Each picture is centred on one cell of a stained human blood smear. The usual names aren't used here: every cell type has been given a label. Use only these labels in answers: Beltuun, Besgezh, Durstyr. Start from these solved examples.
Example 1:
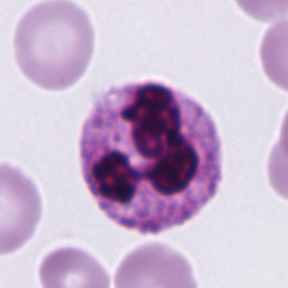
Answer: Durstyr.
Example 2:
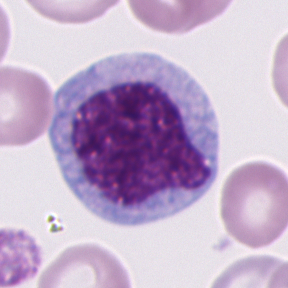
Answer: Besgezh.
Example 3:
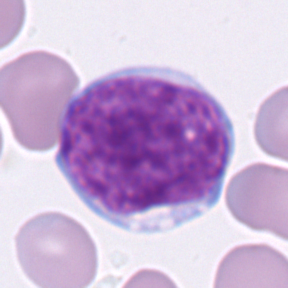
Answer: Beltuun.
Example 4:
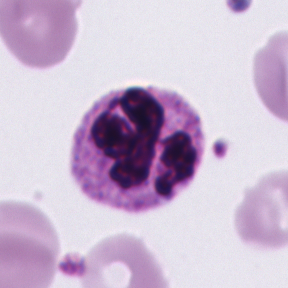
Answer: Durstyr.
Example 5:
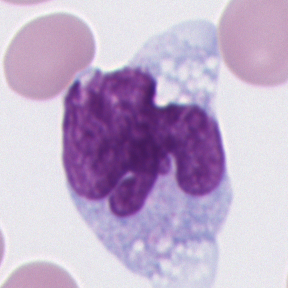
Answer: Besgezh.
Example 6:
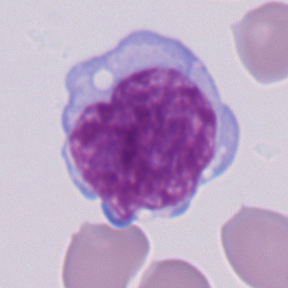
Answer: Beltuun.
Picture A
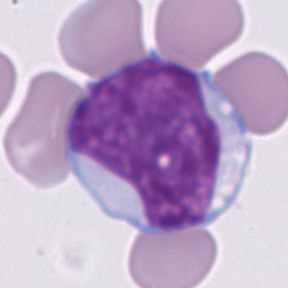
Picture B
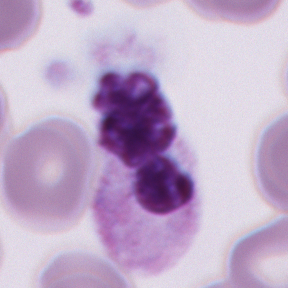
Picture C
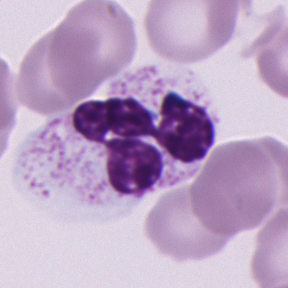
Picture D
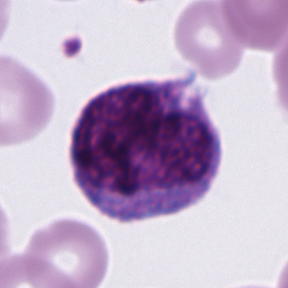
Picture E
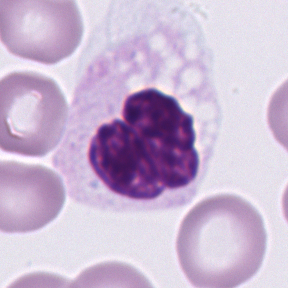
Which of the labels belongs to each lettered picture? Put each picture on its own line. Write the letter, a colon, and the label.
A: Beltuun.
B: Durstyr.
C: Durstyr.
D: Besgezh.
E: Durstyr.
